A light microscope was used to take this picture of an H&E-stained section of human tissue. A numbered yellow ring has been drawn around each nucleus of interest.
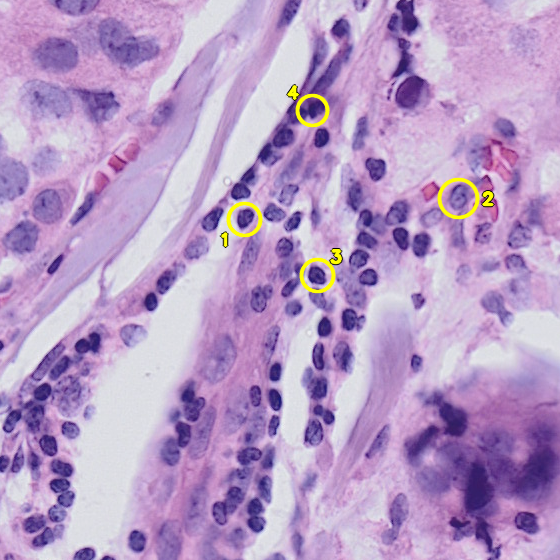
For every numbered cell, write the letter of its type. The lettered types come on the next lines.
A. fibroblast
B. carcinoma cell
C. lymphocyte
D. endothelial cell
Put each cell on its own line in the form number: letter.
1: C
2: D
3: C
4: C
